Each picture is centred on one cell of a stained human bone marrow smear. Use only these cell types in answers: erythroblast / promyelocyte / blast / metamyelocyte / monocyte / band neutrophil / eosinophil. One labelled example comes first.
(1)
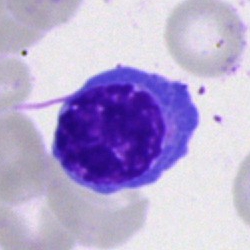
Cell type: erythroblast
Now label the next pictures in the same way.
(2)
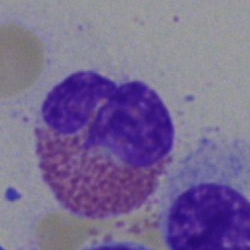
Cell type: eosinophil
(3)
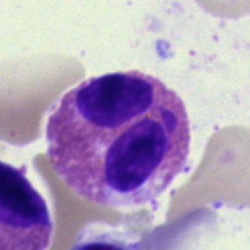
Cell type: eosinophil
